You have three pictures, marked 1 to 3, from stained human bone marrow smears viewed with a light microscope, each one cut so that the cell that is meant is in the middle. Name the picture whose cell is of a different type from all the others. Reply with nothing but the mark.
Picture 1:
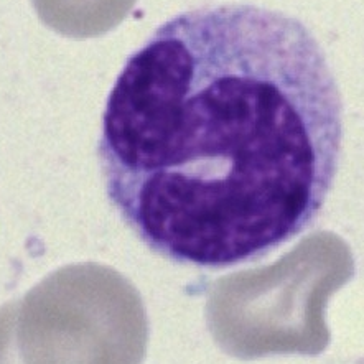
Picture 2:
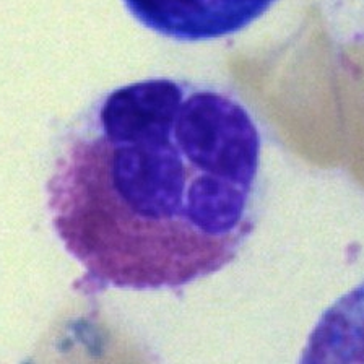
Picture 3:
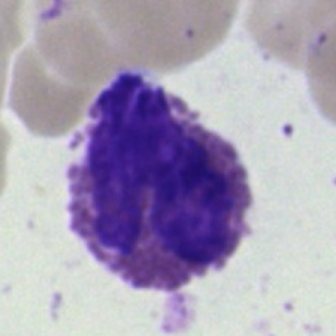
1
